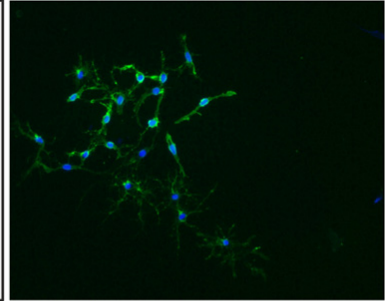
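Most bear few, fairly simple processes, often two or three extending in opposite directions, with only limited branching. The cells lie singly in a loose group.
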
